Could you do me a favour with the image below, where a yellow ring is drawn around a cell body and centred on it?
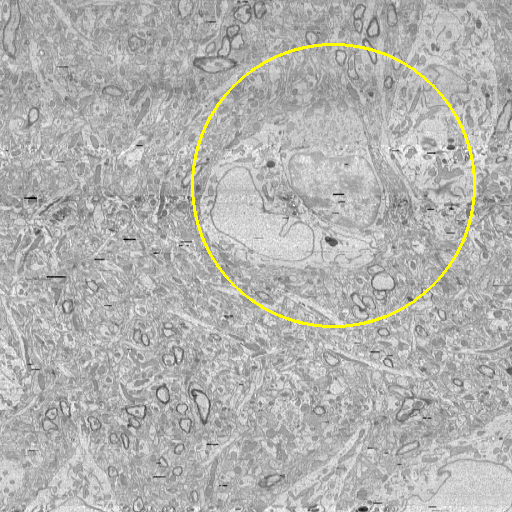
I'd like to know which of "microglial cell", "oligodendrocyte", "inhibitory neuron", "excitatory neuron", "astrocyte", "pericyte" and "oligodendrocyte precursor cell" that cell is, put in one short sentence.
The cell at the ring's centre is an oligodendrocyte.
